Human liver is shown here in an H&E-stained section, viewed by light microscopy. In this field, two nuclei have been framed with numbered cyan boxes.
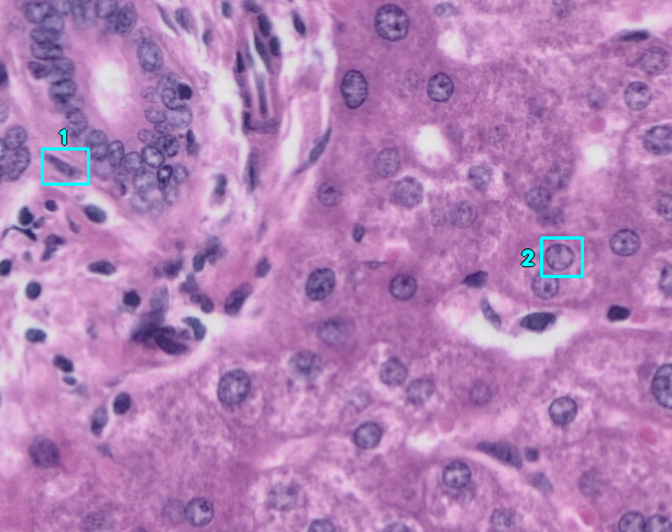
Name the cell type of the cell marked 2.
hepatocyte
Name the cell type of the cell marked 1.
fibroblast or stellate cell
